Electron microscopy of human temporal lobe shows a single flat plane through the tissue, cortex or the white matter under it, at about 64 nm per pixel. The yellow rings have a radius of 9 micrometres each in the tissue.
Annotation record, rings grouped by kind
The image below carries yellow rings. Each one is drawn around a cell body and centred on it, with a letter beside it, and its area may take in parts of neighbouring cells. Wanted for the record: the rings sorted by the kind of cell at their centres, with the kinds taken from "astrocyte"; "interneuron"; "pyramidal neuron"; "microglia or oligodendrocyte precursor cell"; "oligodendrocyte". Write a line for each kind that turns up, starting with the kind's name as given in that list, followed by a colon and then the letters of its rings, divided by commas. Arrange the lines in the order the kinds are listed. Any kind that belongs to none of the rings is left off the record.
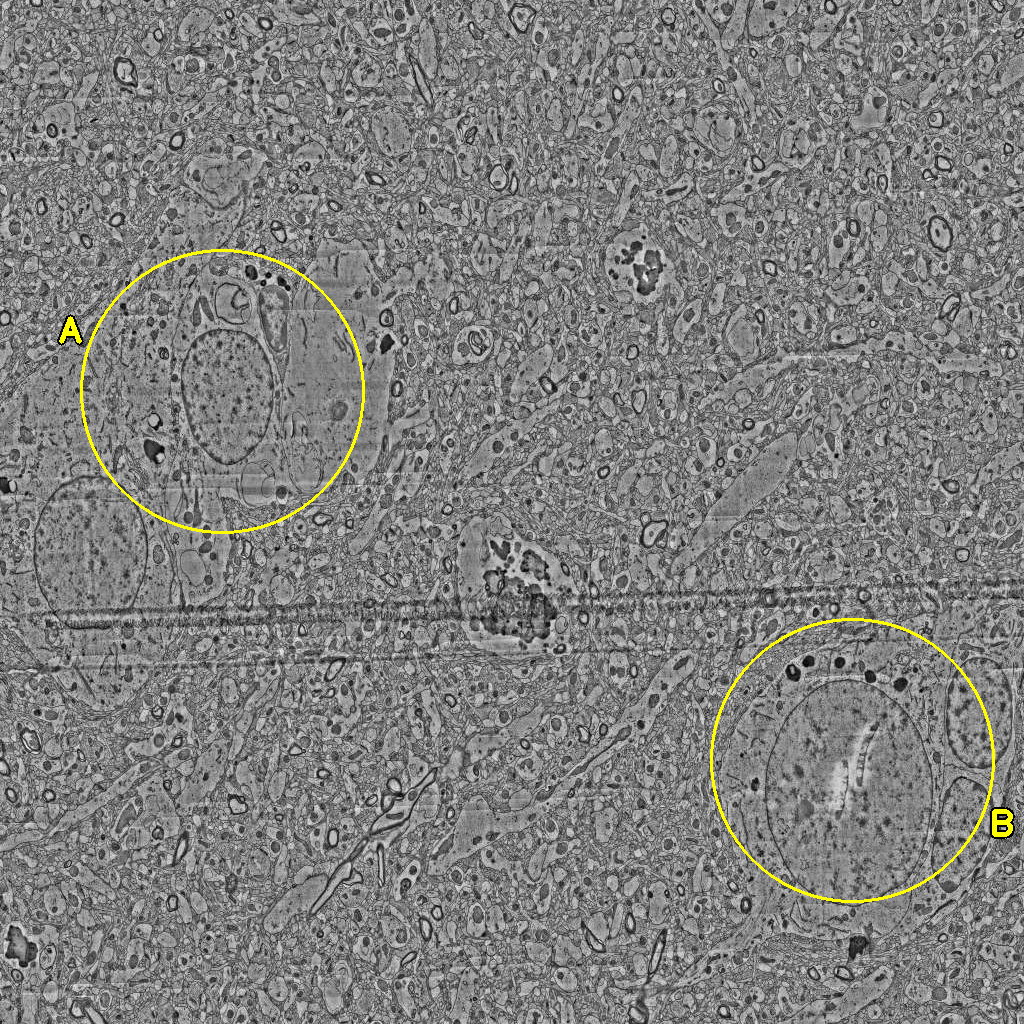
astrocyte: A
pyramidal neuron: B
